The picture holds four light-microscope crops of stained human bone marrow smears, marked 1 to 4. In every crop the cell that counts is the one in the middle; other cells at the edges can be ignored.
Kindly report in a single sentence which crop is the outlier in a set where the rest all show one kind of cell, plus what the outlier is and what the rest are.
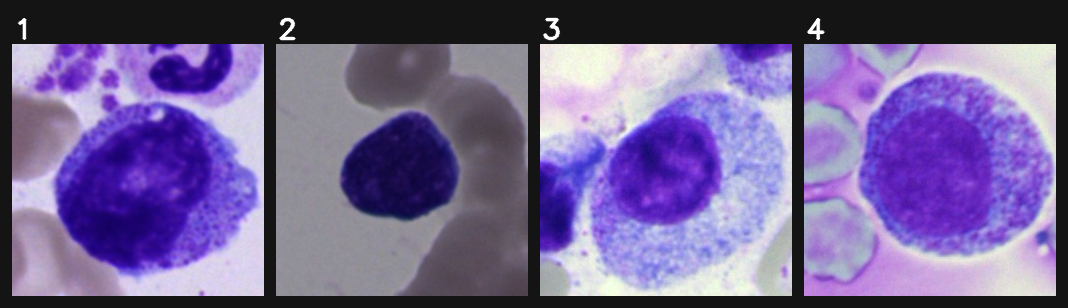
What sets crop 2 apart is that it shows a blast, while the others show promyelocytes.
